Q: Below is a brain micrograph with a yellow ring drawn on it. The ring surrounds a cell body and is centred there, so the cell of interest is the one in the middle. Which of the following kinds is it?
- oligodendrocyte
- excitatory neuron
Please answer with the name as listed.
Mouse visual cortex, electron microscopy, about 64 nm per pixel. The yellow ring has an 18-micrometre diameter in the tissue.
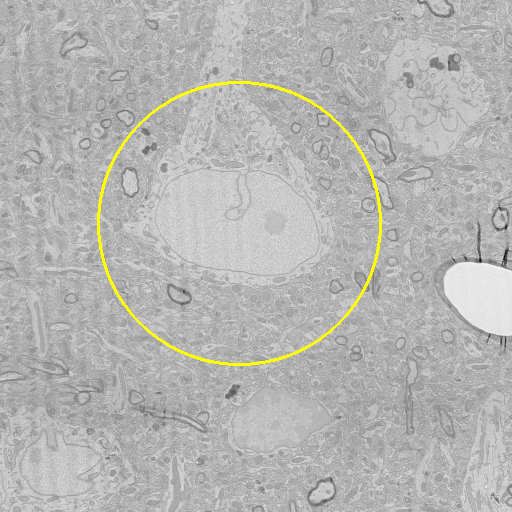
excitatory neuron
